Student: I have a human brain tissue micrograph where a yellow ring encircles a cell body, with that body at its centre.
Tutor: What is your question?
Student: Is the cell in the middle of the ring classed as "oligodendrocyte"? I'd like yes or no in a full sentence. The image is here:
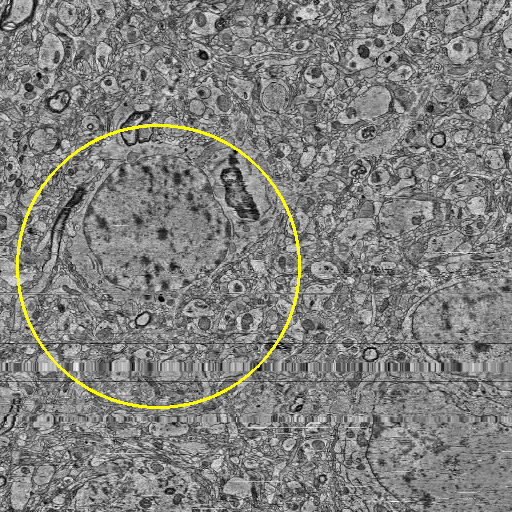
No, the ringed cell in the middle counts as another kind.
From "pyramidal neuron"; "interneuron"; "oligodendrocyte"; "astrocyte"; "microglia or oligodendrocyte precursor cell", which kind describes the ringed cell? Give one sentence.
The cell in the ring is an astrocyte instead.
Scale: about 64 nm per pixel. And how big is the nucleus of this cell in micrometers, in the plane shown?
Roughly 9 micrometres across for the nucleus, in this plane.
